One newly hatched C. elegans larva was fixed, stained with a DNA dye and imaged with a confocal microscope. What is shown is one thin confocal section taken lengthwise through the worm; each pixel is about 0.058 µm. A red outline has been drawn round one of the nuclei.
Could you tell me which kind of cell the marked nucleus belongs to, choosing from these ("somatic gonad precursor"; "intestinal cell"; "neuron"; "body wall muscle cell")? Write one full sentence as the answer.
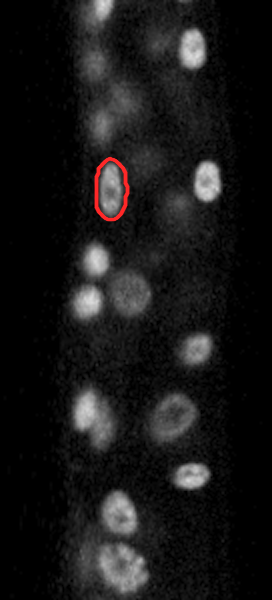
It is the nucleus of a body wall muscle cell.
